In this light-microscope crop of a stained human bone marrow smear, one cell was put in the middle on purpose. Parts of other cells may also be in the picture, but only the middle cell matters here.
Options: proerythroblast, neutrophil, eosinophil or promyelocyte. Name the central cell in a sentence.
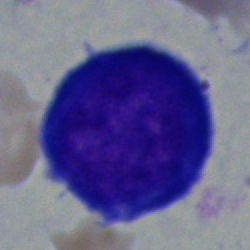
The middle cell in this particular crop is a proerythroblast.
